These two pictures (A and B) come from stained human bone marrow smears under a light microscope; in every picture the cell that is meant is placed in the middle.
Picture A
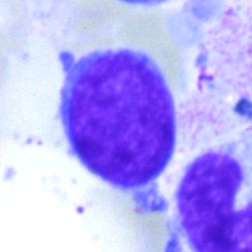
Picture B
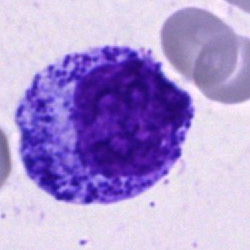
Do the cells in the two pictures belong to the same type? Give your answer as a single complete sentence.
No; the cell in picture A is a blast, while the one in picture B is a promyelocyte.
